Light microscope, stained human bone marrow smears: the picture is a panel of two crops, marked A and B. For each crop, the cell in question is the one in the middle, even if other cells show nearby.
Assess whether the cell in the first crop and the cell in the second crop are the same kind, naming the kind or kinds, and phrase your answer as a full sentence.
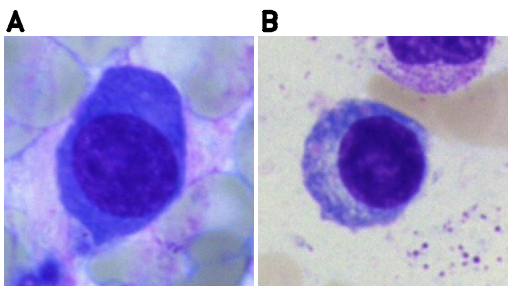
Yes, in both crops, plasma cells are the cells at the middle.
